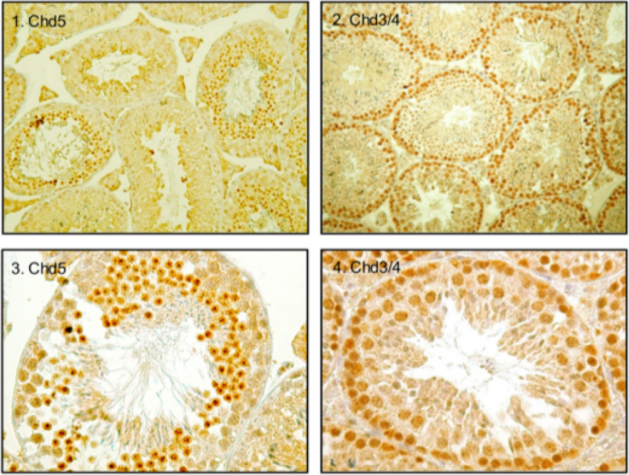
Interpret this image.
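These are sections of seminiferous tubules of the testis cut in cross section, with their germ cells arranged in layers around a central lumen. In the left images, brown-stained nuclei form a band in the inner layers of the epithelium, toward the lumen, while the outer basal cells are pale. In the right images, the brown nuclear stain is strongest in the cells along the outer, basal part of the tubules. At higher magnification the stained nuclei are round, and the lumen is filled with pale, thread-like tails of maturing germ cells. Loose pale interstitial tissue separates neighbouring tubules.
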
